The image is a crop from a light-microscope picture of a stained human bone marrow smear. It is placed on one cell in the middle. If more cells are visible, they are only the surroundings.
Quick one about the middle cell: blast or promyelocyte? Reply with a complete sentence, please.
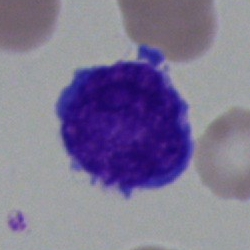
Of the cells in this crop, the central one is a blast.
